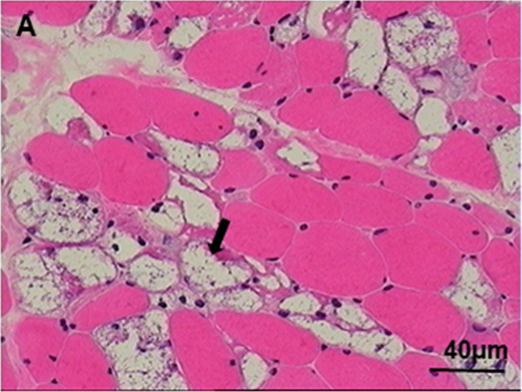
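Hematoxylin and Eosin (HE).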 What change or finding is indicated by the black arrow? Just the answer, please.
Vacuoles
